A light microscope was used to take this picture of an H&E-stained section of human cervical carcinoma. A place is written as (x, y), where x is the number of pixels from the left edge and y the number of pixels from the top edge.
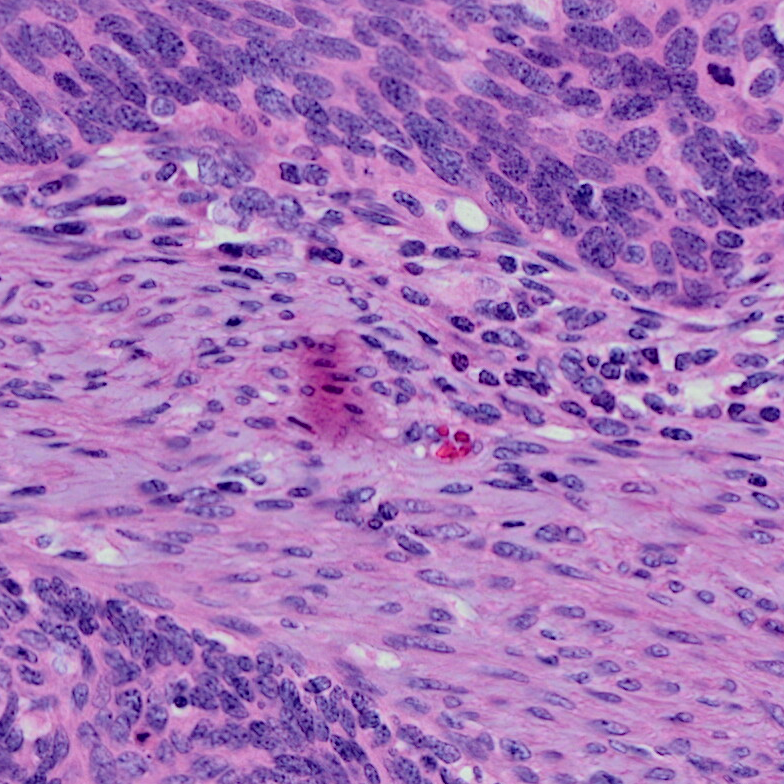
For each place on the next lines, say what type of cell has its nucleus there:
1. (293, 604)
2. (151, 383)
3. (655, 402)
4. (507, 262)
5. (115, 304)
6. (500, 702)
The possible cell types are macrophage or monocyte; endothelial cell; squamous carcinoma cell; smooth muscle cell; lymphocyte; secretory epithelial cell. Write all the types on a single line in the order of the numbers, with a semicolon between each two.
smooth muscle cell; smooth muscle cell; lymphocyte; lymphocyte; smooth muscle cell; smooth muscle cell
